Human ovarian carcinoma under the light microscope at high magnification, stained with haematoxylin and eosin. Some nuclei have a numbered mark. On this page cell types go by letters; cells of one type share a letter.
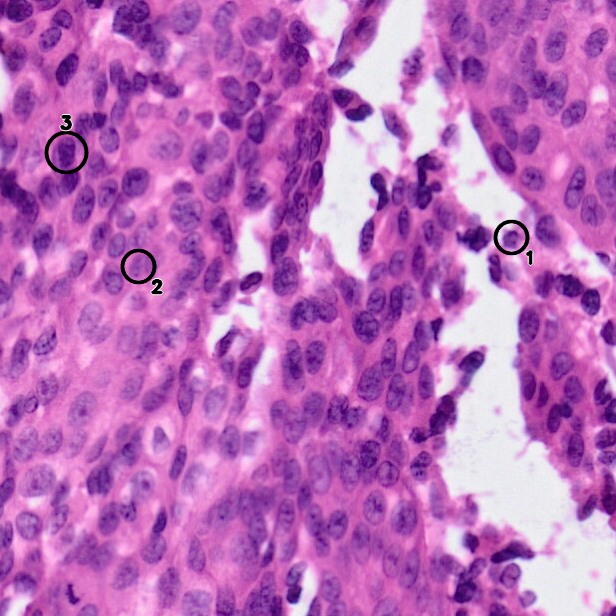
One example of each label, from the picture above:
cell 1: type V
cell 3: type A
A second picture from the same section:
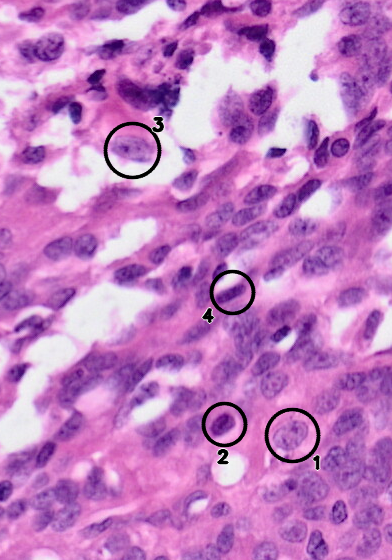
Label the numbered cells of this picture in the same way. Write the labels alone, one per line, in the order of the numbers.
type A
type A
type V
type A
